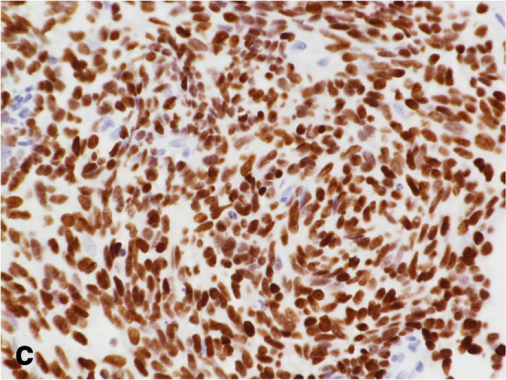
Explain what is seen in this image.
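This shows densely packed tumor cells whose nuclei are stained brown. The nuclei are oval to spindle-shaped and many run in streaming, roughly parallel rows. Almost every tumor nucleus carries the brown stain, varying from light to dark brown, while the surrounding cytoplasm is scant and pale. A few scattered nuclei in the thin intervening stroma remain blue and unstained, standing out against the brown tumor nuclei. Small pale spaces break up the crowded cell mass.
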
